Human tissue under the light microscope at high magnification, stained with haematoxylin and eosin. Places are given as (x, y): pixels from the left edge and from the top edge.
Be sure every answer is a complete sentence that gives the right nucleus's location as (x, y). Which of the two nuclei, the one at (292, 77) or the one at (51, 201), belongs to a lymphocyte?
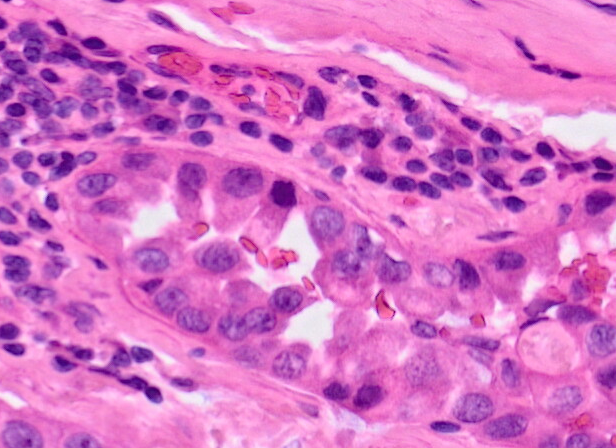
The nucleus positioned at (51, 201) is the one that belongs to a lymphocyte.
